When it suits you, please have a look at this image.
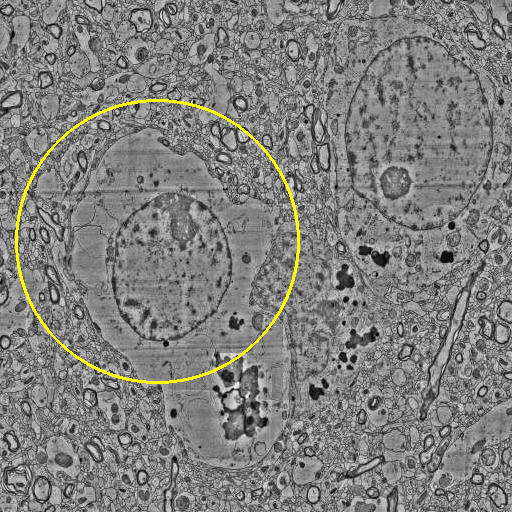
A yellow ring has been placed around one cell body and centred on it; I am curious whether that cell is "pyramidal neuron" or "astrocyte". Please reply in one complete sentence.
The ringed cell, an astrocyte, has its body at the centre of the yellow ring.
